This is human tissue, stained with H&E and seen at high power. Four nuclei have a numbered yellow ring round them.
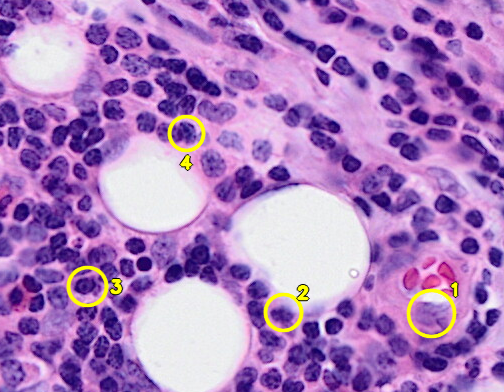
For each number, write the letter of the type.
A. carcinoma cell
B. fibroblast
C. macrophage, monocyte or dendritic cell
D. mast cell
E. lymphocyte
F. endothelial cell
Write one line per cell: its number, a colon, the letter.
1: F
2: E
3: E
4: E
